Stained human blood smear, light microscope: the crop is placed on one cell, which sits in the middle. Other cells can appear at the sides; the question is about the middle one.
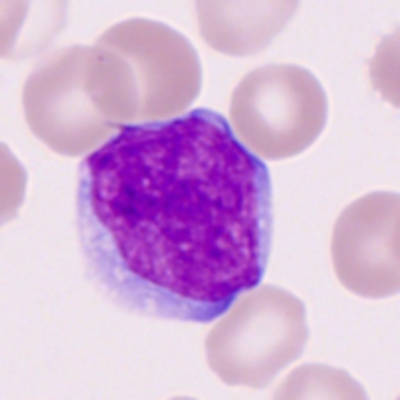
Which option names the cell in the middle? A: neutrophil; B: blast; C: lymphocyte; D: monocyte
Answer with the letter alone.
B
